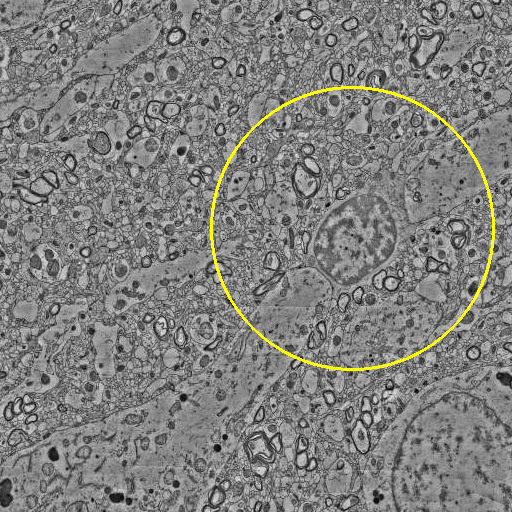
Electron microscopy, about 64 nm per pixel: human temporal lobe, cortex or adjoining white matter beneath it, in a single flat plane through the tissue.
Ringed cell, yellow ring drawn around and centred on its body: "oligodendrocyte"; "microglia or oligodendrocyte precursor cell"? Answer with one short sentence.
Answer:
This ringed cell is an oligodendrocyte.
